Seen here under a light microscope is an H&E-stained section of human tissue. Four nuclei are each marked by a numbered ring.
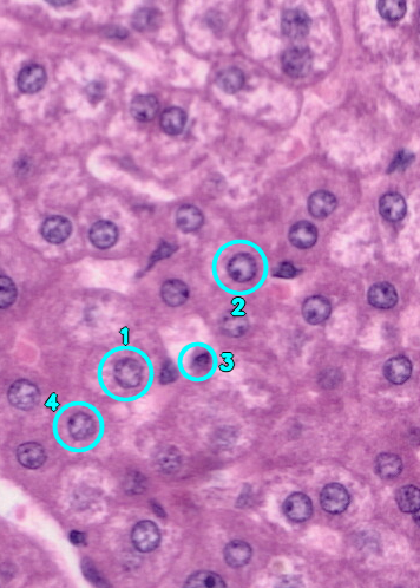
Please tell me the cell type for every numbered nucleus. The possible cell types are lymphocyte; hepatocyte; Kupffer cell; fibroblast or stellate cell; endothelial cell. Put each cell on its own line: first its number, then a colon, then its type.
1: hepatocyte
2: hepatocyte
3: Kupffer cell
4: hepatocyte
